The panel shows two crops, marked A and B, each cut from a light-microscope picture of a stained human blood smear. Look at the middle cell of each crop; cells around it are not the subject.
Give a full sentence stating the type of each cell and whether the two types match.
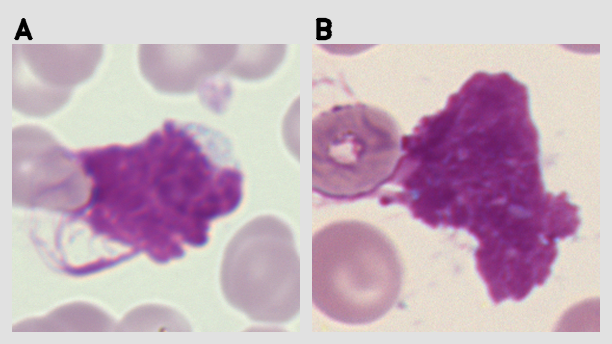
Yes, the cells placed at the centre of both crops are smudge cells.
